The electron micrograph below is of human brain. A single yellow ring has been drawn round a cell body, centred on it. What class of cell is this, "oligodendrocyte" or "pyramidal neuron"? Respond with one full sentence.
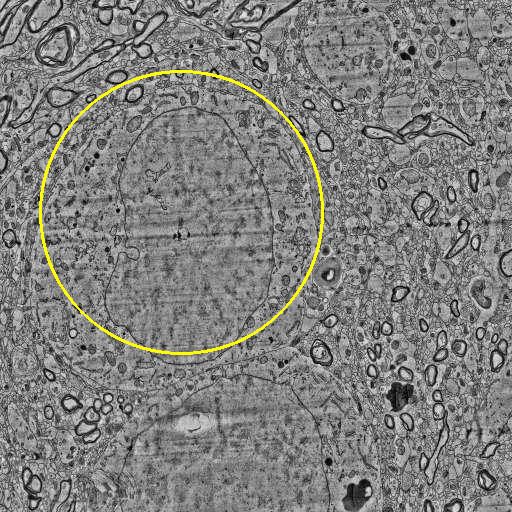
In the micrograph, the cell centred inside the yellow ring is a pyramidal neuron.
